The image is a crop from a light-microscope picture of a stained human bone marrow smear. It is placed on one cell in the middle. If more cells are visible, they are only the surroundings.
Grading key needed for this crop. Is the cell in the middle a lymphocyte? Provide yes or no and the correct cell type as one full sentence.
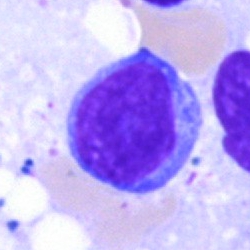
Yes, the cell at the centre of this crop is identified as a lymphocyte.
